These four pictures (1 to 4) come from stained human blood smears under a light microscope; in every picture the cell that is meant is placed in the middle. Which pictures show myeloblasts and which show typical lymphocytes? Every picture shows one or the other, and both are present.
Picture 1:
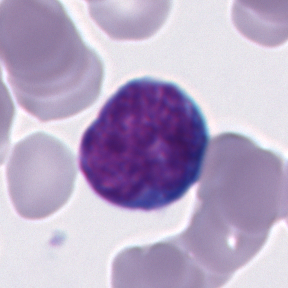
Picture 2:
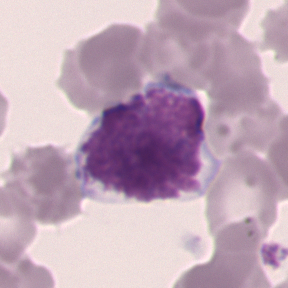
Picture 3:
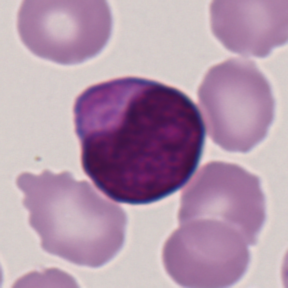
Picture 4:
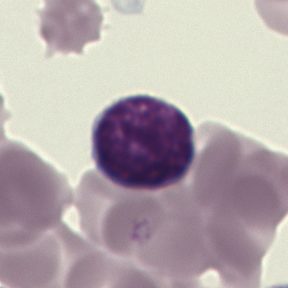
1: typical lymphocyte
2: typical lymphocyte
3: myeloblast
4: typical lymphocyte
